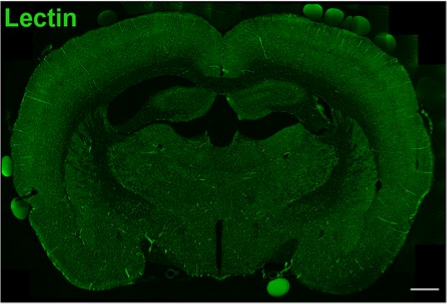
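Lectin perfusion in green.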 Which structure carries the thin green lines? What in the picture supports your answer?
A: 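Thin green lines run radially through the outer grey layer of a coronal brain section. On this evidence: brain vasculature.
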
